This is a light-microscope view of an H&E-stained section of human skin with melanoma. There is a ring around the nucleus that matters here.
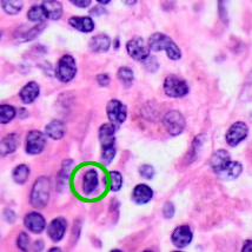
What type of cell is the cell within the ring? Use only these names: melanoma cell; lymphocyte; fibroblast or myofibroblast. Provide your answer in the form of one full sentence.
Assigned to a cell type, the cell within the ring is a lymphocyte.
